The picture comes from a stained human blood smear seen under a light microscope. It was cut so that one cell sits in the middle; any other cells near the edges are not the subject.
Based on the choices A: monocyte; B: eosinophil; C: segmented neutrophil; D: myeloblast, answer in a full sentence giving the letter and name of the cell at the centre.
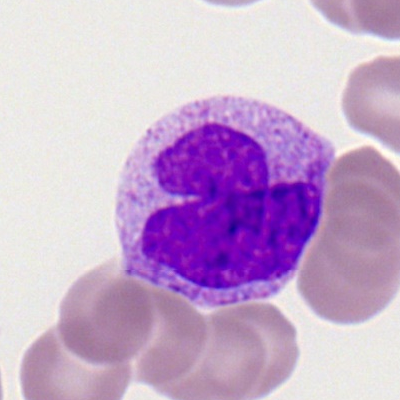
The expected answer is option A, the central cell being a monocyte.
